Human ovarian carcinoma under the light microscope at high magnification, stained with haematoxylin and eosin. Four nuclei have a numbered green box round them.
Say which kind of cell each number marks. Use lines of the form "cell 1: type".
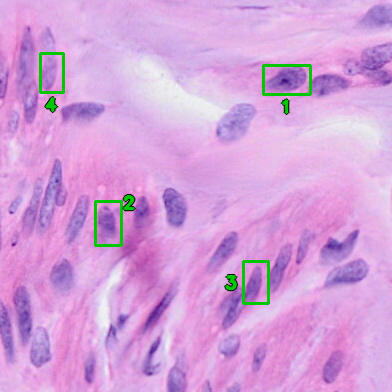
cell 1: endothelial cell
cell 2: smooth muscle cell
cell 3: smooth muscle cell
cell 4: smooth muscle cell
